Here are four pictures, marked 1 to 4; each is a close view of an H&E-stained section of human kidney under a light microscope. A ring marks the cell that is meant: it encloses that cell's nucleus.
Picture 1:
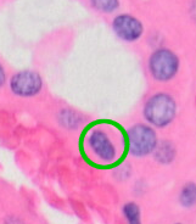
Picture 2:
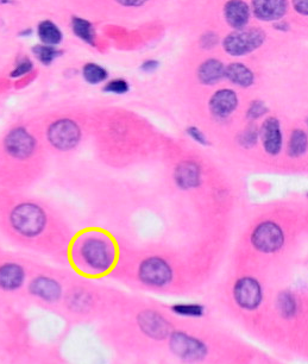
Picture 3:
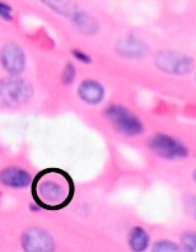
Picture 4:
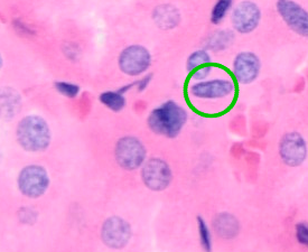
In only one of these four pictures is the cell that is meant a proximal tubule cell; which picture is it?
2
